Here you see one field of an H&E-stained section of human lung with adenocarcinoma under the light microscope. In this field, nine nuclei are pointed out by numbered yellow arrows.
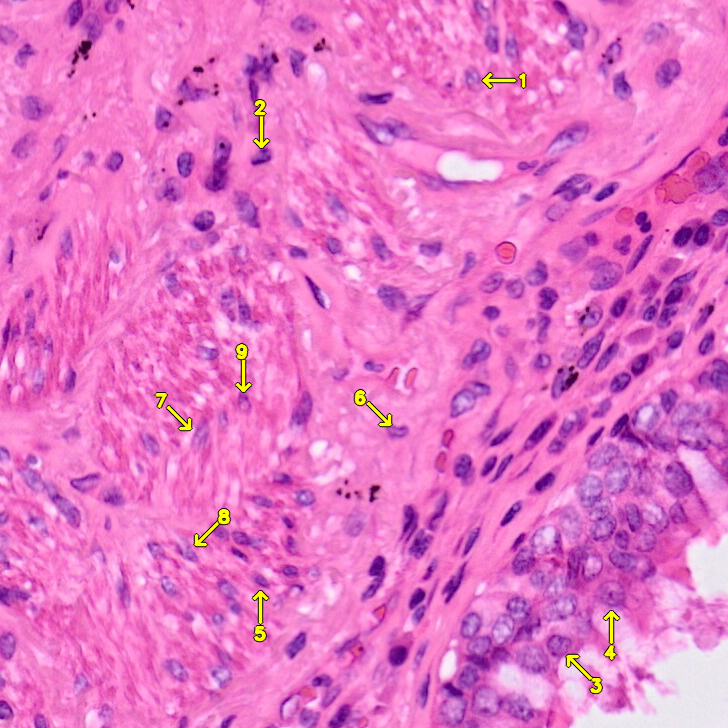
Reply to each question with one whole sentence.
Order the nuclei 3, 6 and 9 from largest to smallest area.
From largest to smallest, the order is 3, 6, 9.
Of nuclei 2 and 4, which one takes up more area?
At about 2.5 times the area of nucleus 2, nucleus 4 is the larger of the two.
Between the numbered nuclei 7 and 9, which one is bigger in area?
Of the two, number 7 is bigger and takes up about 2.5 times the area of number 9.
